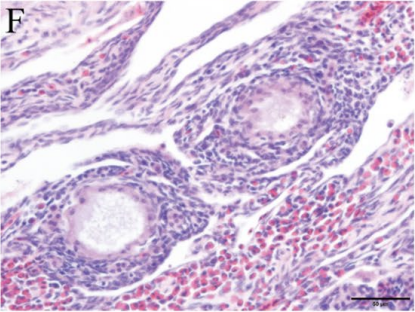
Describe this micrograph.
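This section of ovarian tissue shows two small follicles with pale, finely vacuolated oocytes at their centres. Each oocyte is surrounded by a thick, crowded cuff of cells with dark purple nuclei. The follicles are embedded in stroma of spindle-shaped cells. Numerous red blood cells fill the tissue around and between the follicles.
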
